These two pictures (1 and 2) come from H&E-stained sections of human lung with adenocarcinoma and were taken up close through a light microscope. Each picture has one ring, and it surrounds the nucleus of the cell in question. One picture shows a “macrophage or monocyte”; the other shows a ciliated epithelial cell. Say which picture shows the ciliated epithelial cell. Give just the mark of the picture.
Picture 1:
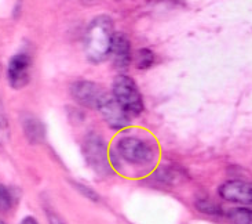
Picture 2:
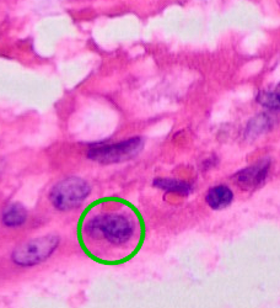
1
